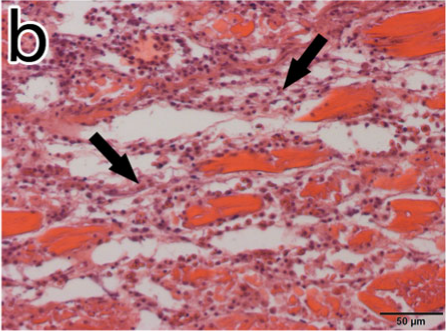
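Pieces of bright pink muscle fibre lie scattered among crowds of small round cells with dark purple nuclei, and clear spaces separate the fragments. The orderly parallel fibre pattern of healthy muscle is gone.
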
